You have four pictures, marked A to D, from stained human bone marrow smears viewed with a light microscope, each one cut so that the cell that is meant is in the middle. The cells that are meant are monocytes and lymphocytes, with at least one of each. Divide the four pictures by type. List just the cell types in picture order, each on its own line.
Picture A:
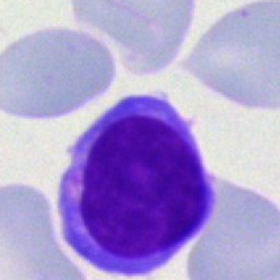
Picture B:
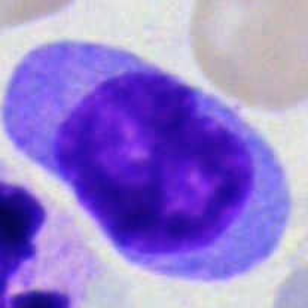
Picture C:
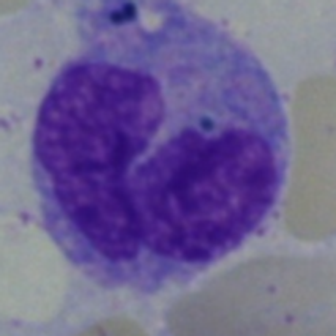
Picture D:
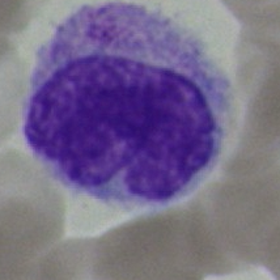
lymphocyte
monocyte
monocyte
monocyte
